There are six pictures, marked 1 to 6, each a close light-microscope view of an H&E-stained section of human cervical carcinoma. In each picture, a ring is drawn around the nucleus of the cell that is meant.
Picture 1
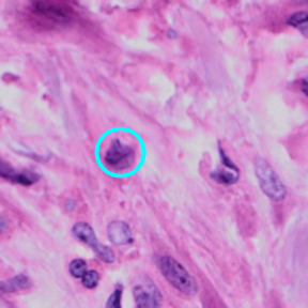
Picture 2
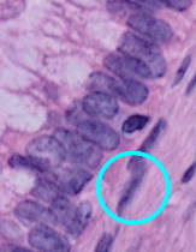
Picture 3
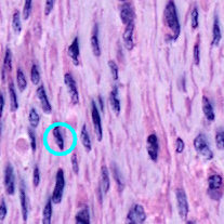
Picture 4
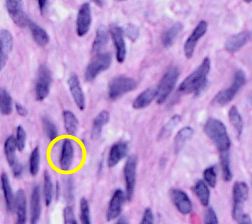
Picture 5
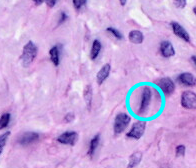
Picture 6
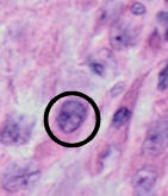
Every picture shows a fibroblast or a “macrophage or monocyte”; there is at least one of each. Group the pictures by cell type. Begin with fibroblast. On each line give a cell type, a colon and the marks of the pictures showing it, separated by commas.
fibroblast: 2, 3, 4, 5
macrophage or monocyte: 1, 6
